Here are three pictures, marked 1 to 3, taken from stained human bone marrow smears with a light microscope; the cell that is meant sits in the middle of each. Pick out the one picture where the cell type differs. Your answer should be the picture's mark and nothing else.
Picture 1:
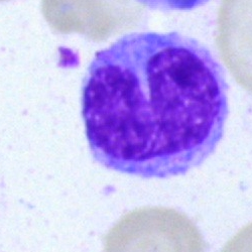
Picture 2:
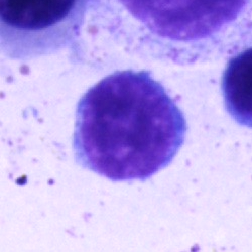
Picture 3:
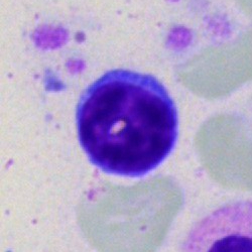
1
